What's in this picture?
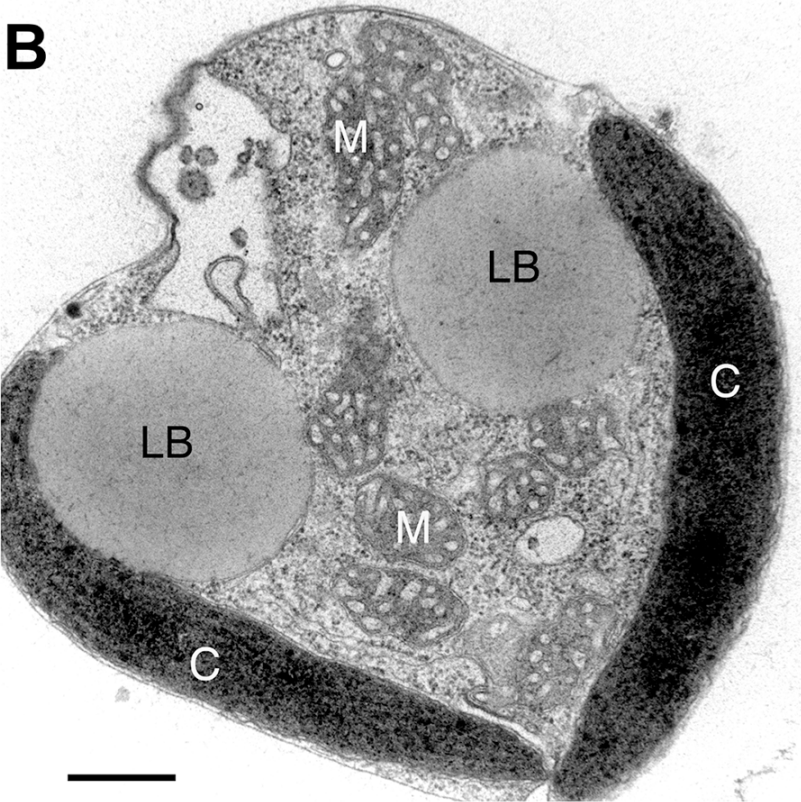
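A section through a whole single cell shows two large, dark, curved plate-like bodies lying against the cell's edge on either side. Two big round, evenly pale-grey bodies without inner structure sit in the cell's interior, one beside each dark plate. Between them lie several smaller oval bodies with folded inner membranes. The dark curved plates are chloroplasts, the pale round bodies are lipid bodies, and the small folded bodies are mitochondria.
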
